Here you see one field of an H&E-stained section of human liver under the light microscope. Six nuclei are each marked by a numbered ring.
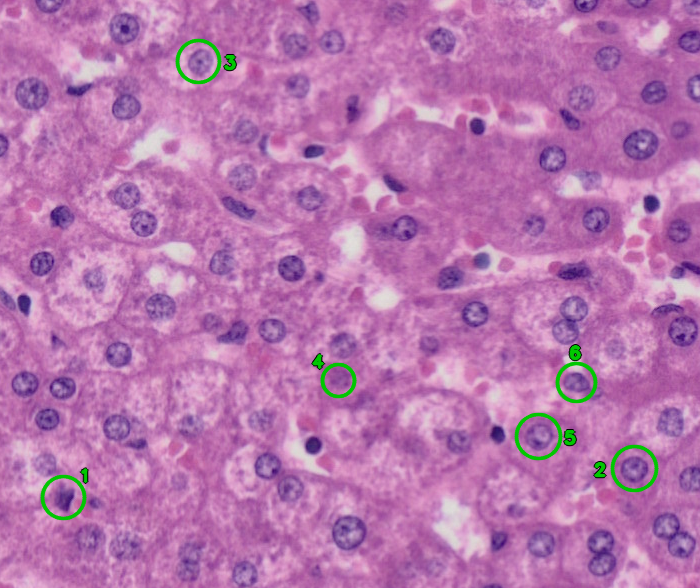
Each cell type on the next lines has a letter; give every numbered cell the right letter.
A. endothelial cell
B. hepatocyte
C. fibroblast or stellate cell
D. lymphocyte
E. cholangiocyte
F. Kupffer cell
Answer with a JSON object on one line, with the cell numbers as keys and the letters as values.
{"1": "A", "2": "B", "3": "B", "4": "B", "5": "B", "6": "F"}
